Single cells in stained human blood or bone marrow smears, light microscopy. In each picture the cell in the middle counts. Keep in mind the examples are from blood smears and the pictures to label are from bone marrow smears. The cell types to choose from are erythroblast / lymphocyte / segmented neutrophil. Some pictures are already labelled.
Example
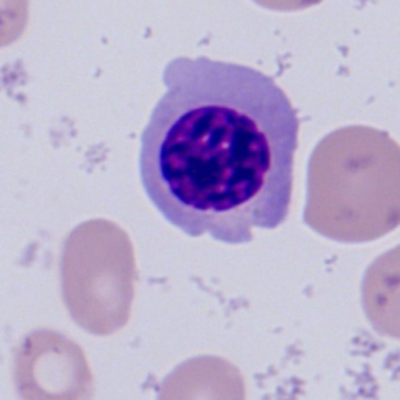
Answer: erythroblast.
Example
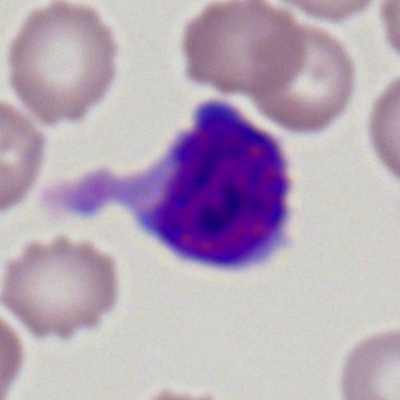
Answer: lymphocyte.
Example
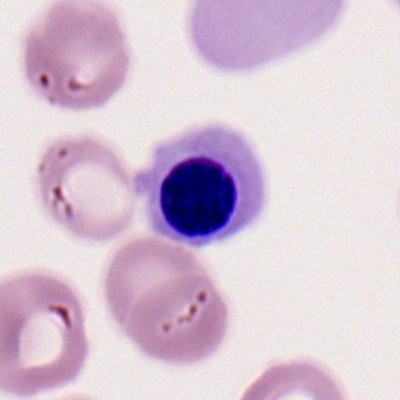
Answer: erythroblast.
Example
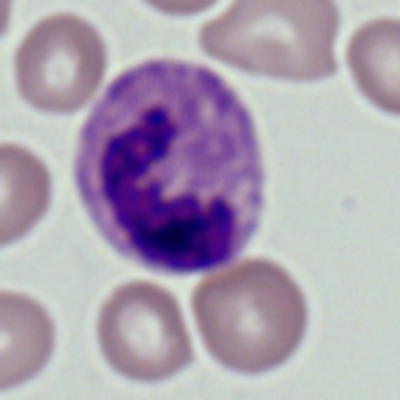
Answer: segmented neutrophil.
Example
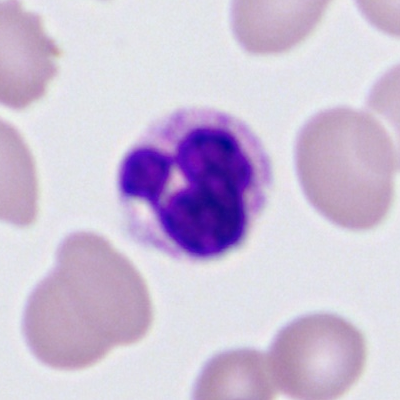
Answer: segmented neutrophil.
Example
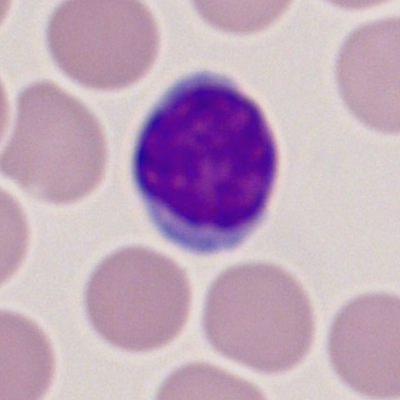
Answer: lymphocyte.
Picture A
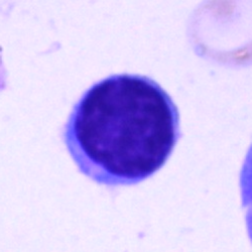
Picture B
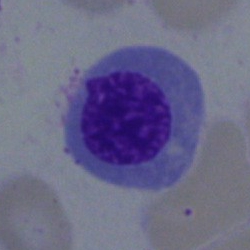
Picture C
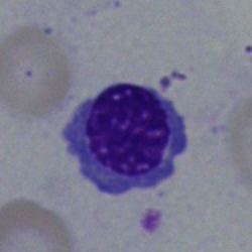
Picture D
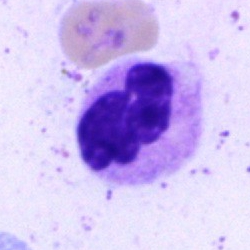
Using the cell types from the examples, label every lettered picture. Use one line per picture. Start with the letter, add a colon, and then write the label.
A: lymphocyte.
B: erythroblast.
C: erythroblast.
D: segmented neutrophil.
